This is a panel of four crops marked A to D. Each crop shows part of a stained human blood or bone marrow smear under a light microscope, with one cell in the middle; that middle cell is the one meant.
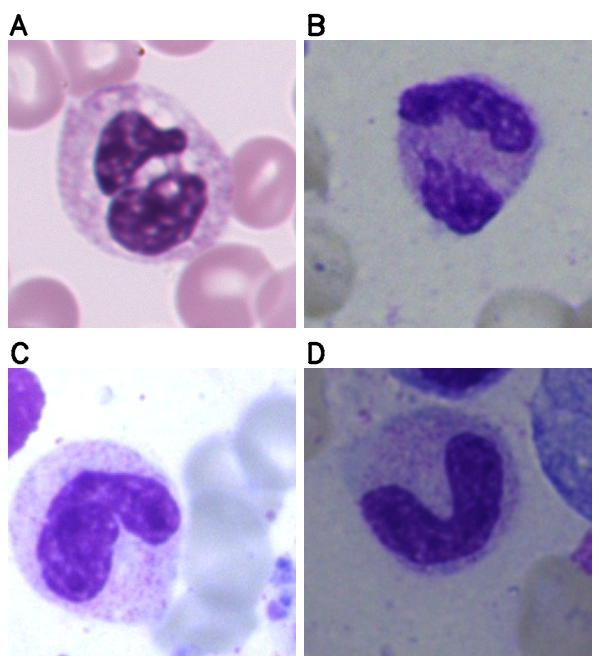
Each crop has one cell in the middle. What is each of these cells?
A: segmented neutrophil
B: segmented neutrophil
C: band neutrophil
D: band neutrophil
